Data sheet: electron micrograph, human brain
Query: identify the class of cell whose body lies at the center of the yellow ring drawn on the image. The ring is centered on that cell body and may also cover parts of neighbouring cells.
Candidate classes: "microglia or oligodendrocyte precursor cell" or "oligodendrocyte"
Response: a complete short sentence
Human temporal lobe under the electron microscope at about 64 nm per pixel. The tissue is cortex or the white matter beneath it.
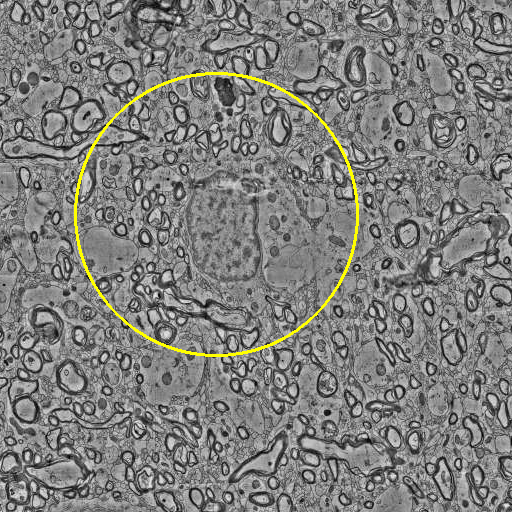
At the center of the ring lies an oligodendrocyte.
